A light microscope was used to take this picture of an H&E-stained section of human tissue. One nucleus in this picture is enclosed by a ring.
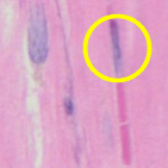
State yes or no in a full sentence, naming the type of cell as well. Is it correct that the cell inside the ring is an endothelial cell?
Yes, regarding cell type, the cell inside the ring is an endothelial cell.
